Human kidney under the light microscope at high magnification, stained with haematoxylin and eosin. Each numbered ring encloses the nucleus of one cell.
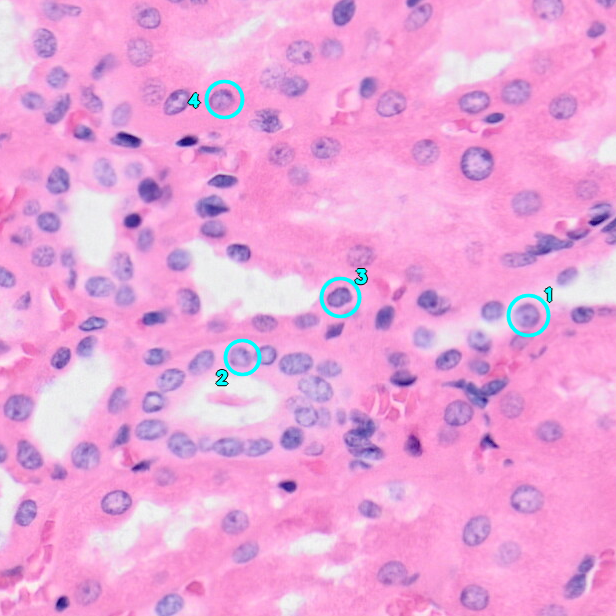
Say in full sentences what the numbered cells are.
Cells 1 and 3 are loop of Henle or distal tubule cells. Cell 2 is a collecting duct cell. Cell 4 is a proximal tubule cell.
